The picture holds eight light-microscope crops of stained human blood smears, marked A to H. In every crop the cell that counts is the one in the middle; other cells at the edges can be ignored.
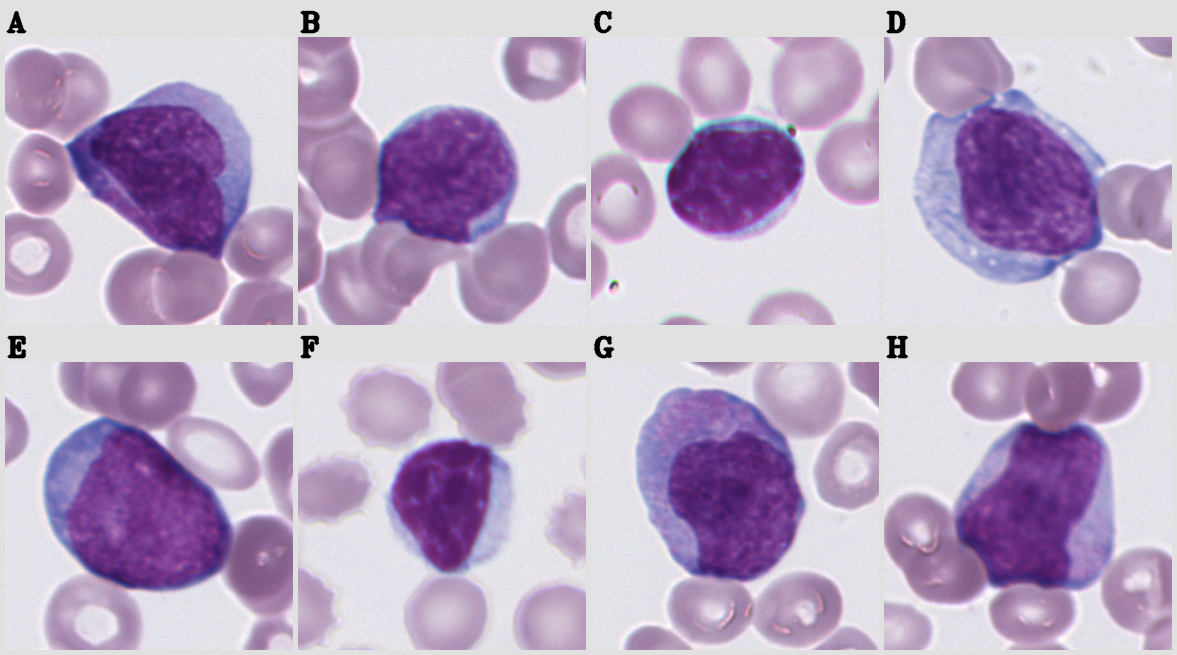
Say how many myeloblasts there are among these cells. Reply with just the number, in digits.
3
